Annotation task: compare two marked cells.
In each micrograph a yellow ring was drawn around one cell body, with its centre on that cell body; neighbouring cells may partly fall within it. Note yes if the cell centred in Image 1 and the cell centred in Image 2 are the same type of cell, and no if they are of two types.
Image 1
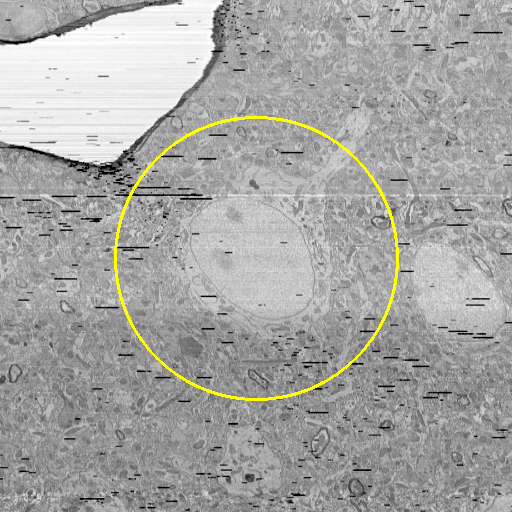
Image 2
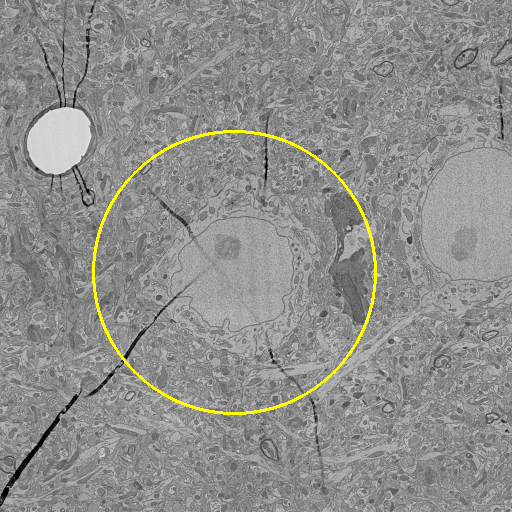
yes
